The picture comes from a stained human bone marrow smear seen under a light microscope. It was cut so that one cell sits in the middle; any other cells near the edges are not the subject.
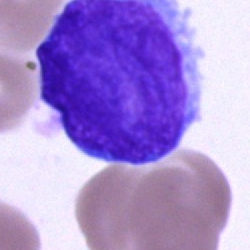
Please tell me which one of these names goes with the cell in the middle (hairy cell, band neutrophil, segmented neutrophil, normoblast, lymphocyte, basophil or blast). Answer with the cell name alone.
blast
